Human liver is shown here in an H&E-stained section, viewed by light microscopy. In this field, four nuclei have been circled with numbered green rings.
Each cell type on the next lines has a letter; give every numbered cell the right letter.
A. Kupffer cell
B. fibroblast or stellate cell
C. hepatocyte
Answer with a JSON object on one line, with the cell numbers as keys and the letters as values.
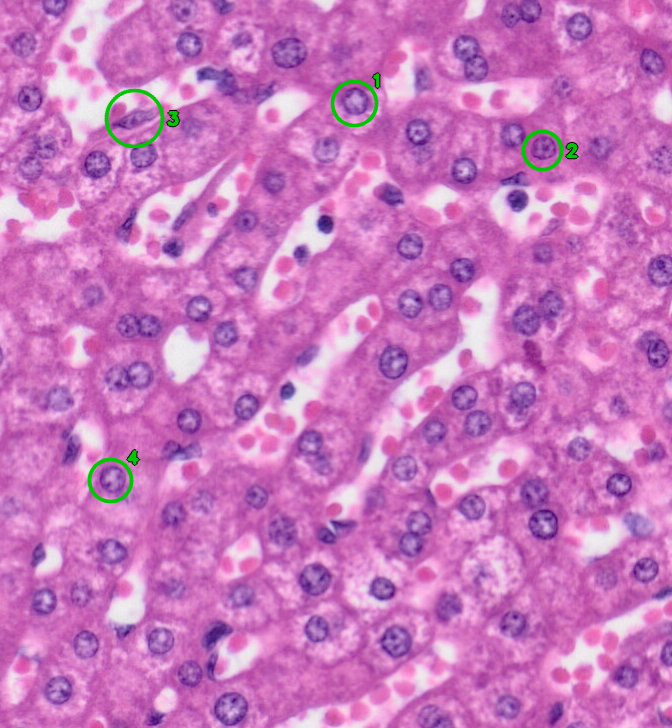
{"1": "C", "2": "C", "3": "A", "4": "C"}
